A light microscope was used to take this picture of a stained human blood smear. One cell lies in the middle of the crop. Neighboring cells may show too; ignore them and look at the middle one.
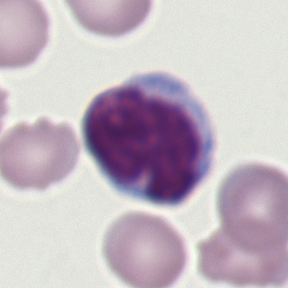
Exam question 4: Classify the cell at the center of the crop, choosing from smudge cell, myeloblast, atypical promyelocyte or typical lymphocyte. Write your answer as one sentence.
The centered cell in this crop is a typical lymphocyte.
